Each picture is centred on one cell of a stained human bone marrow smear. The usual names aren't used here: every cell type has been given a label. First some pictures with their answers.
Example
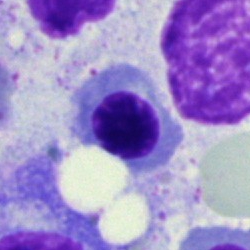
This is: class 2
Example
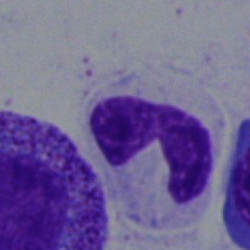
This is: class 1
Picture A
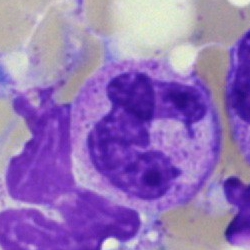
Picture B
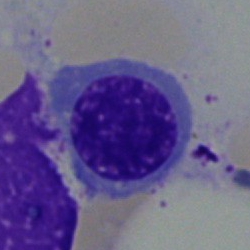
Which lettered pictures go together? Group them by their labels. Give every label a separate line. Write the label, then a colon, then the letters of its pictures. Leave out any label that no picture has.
class 2: B
class 1: A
